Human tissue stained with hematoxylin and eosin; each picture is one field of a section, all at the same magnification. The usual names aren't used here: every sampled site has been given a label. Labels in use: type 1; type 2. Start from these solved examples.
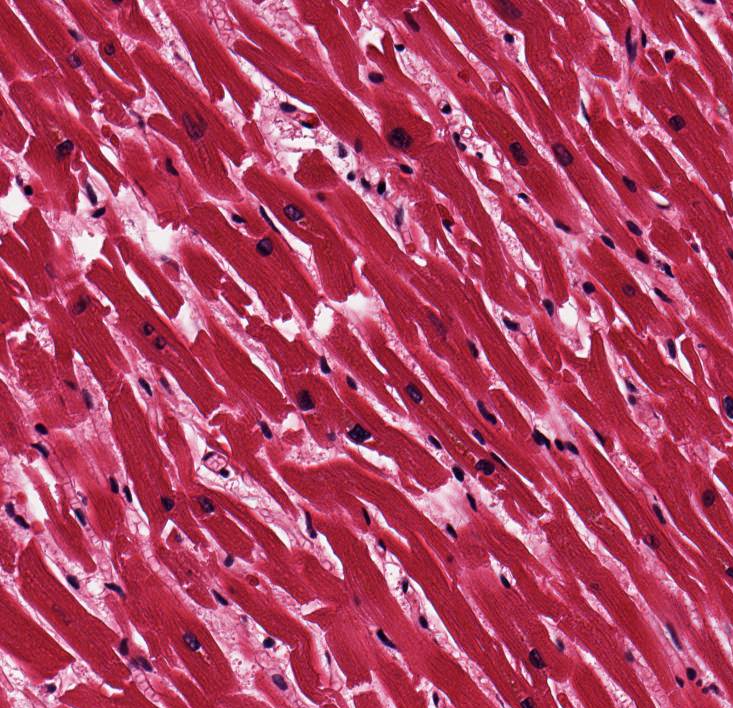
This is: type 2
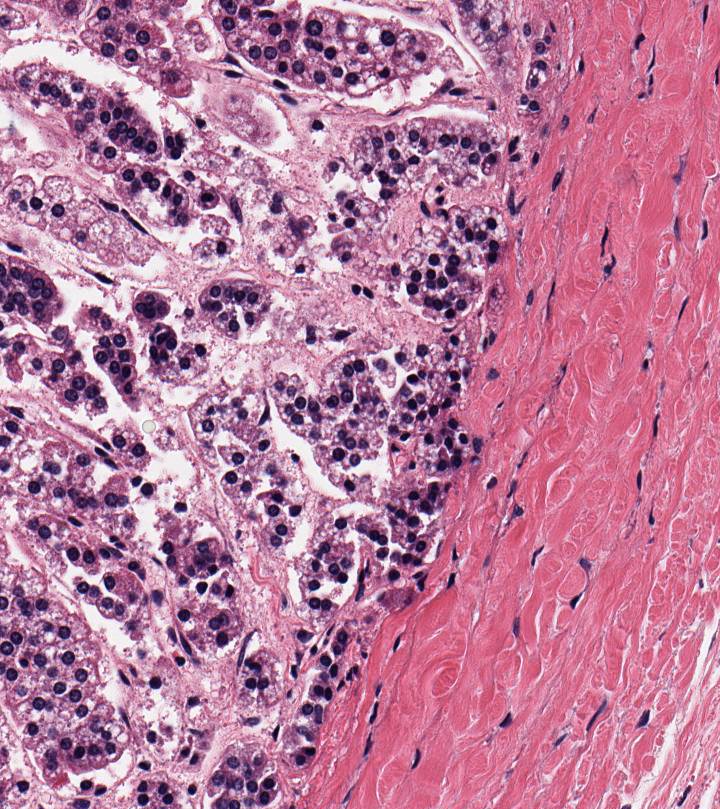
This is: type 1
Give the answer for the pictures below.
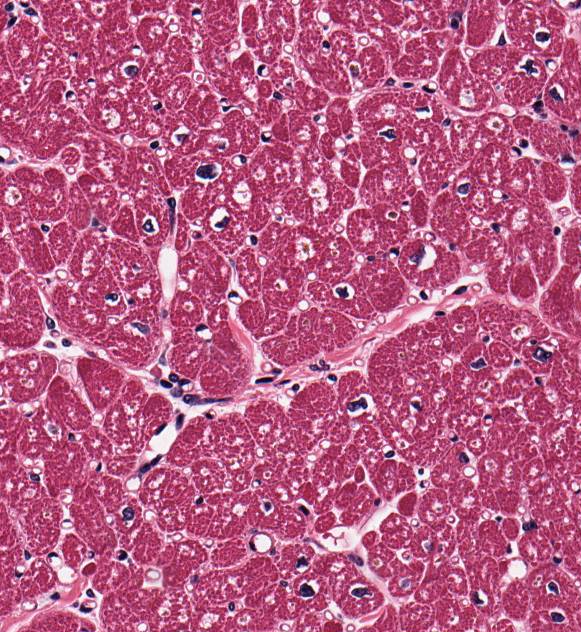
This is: type 2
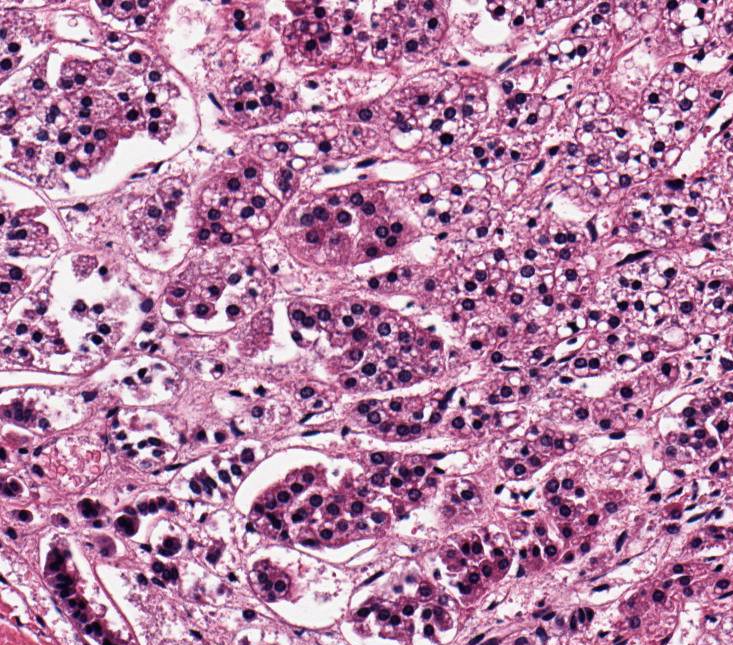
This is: type 1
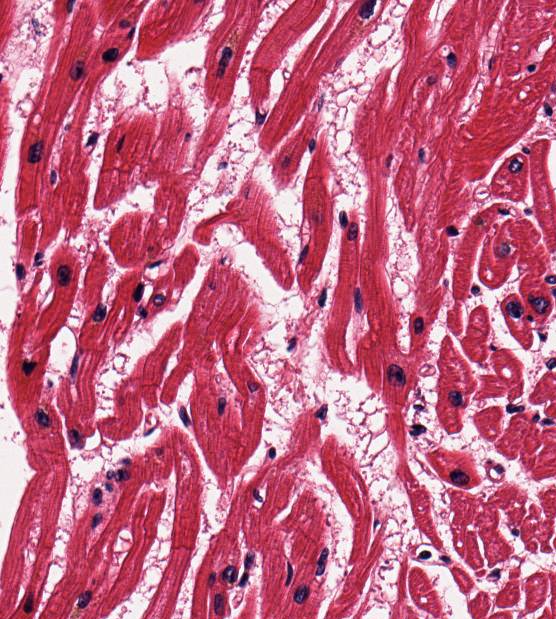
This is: type 2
